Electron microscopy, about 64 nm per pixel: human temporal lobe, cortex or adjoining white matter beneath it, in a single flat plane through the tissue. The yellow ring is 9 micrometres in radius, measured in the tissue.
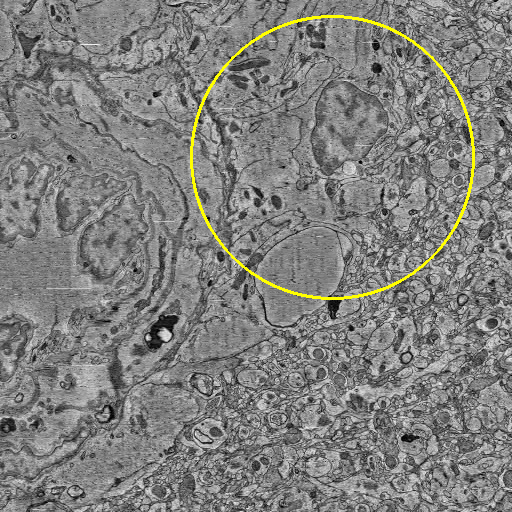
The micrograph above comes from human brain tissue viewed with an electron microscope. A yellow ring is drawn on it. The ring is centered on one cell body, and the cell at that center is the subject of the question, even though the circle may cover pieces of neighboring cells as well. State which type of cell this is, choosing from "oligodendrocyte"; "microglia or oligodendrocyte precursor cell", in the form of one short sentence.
The cell the ring is centered on is a microglial cell or oligodendrocyte precursor cell.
